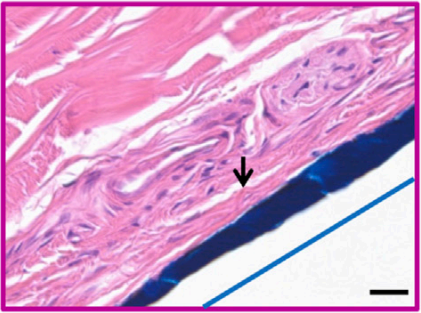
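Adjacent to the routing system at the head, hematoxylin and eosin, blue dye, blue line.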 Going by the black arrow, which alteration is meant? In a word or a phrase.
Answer: Minimal inflammatory fibrotic encapsulation.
